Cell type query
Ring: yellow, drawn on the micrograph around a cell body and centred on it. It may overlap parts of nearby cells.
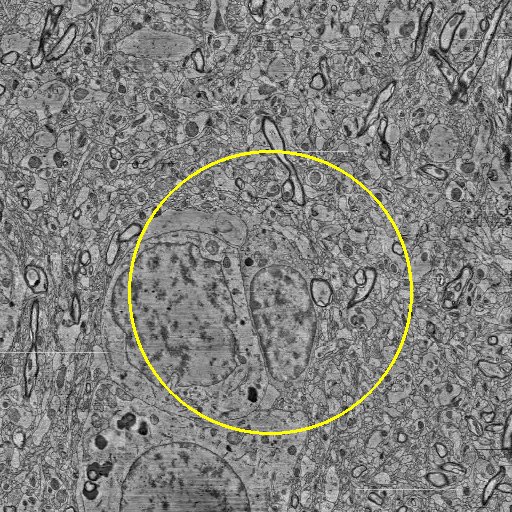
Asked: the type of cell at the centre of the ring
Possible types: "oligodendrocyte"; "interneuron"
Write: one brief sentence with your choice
The ring marks an oligodendrocyte.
